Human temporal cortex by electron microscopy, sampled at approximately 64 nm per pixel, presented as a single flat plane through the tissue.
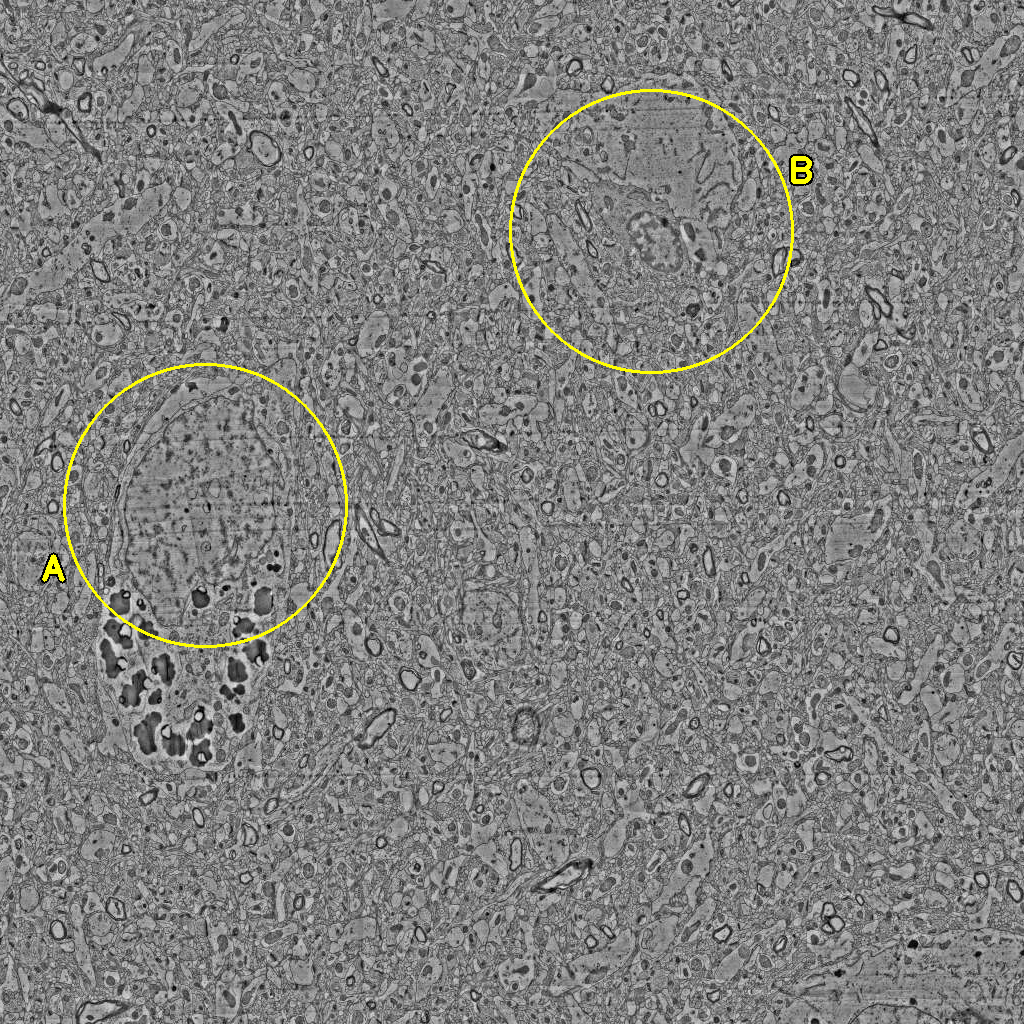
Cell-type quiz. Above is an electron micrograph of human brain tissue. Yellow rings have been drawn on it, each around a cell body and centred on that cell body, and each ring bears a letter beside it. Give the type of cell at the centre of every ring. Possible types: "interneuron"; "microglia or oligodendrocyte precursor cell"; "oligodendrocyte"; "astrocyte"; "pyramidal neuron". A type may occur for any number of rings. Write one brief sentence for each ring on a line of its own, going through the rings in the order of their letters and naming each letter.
Ring A is centred on the cell body of an interneuron.
Ring B is centred on the cell body of an oligodendrocyte.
